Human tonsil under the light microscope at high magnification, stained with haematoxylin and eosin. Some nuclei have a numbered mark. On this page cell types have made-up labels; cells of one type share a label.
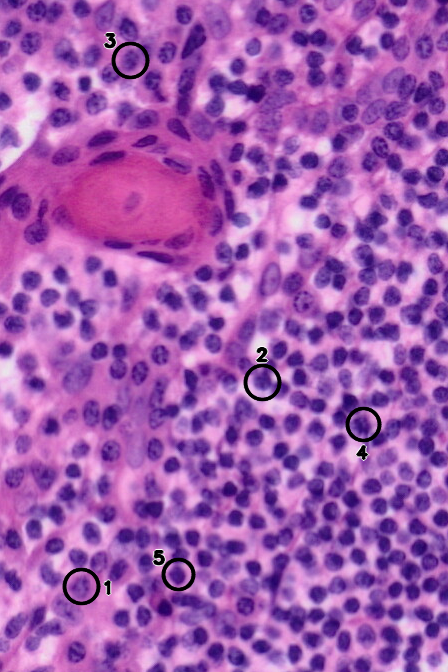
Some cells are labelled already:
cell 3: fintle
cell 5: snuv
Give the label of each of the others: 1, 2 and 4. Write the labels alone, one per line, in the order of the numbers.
fintle
snuv
snuv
